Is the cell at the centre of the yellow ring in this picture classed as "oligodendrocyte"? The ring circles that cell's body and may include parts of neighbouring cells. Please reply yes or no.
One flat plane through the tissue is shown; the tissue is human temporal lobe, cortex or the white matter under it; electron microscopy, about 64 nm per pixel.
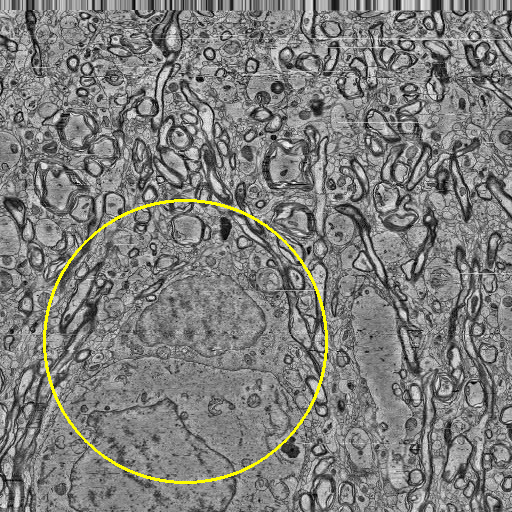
Yes, it is of that kind.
